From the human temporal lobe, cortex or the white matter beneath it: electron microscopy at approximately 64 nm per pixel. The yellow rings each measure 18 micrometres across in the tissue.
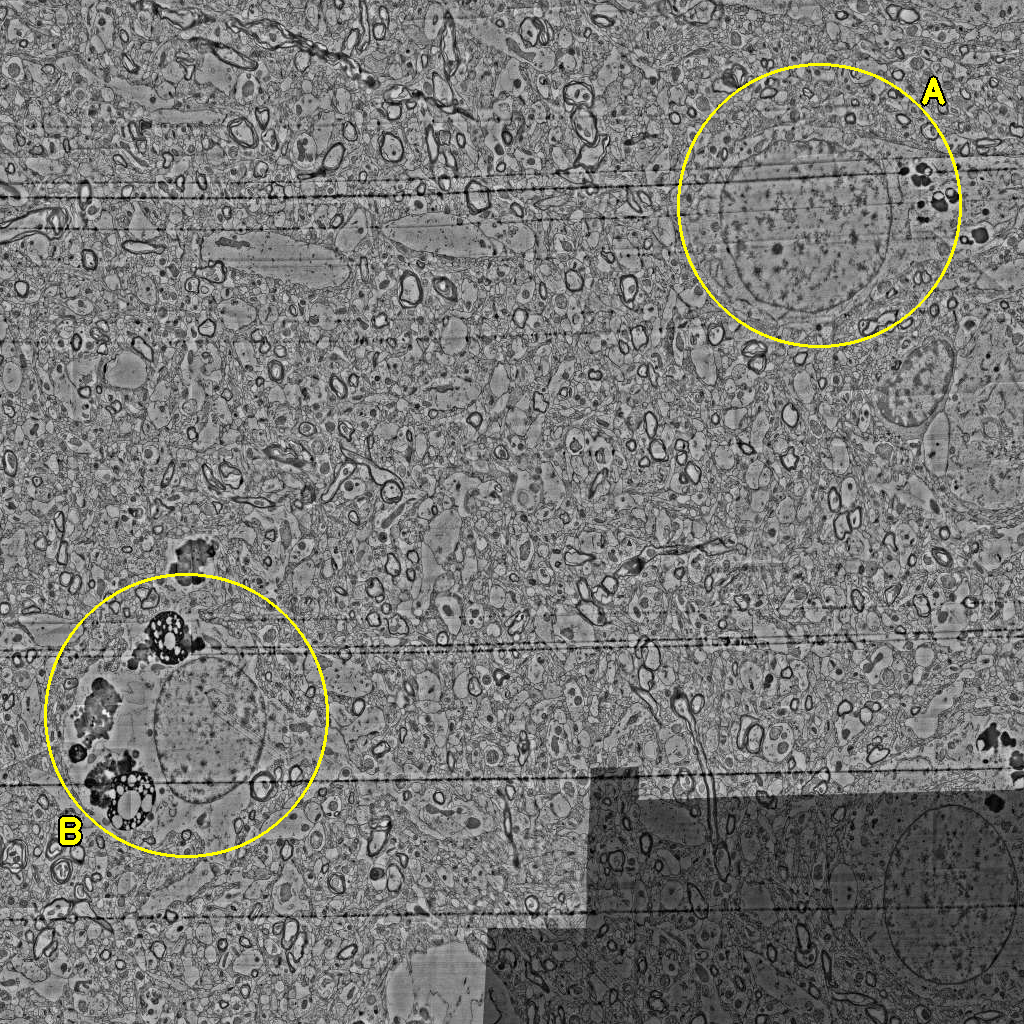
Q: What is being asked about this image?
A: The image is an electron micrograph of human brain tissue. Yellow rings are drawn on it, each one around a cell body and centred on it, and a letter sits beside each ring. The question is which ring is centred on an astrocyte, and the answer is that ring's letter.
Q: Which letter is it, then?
B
